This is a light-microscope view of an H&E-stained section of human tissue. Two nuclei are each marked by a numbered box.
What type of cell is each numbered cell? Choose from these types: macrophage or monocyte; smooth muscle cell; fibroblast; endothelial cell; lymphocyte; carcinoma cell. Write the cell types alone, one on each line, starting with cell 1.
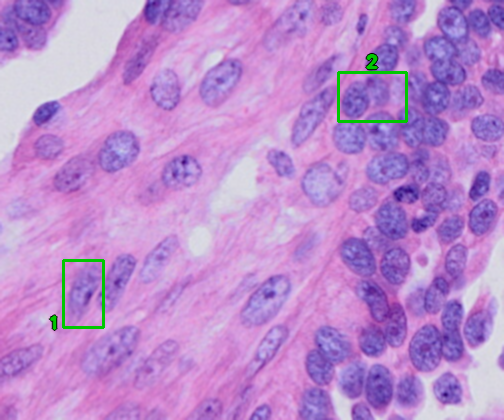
fibroblast
carcinoma cell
